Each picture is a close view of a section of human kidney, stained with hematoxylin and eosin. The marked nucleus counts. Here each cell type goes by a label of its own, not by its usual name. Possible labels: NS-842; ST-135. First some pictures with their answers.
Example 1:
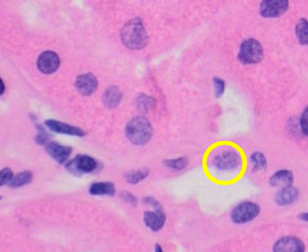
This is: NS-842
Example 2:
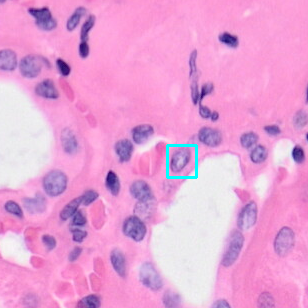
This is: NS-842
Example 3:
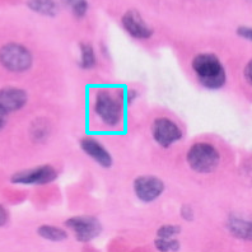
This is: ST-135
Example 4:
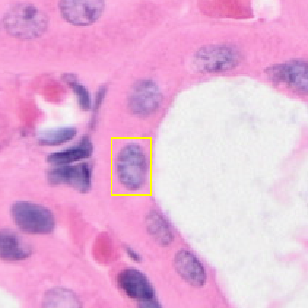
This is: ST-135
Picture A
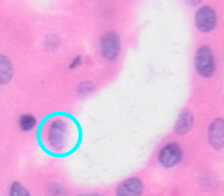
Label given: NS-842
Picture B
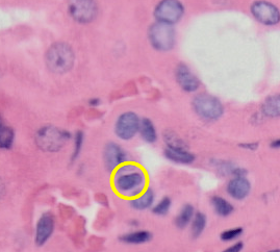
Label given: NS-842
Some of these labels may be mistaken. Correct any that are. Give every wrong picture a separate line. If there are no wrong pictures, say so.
A: ST-135, not NS-842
